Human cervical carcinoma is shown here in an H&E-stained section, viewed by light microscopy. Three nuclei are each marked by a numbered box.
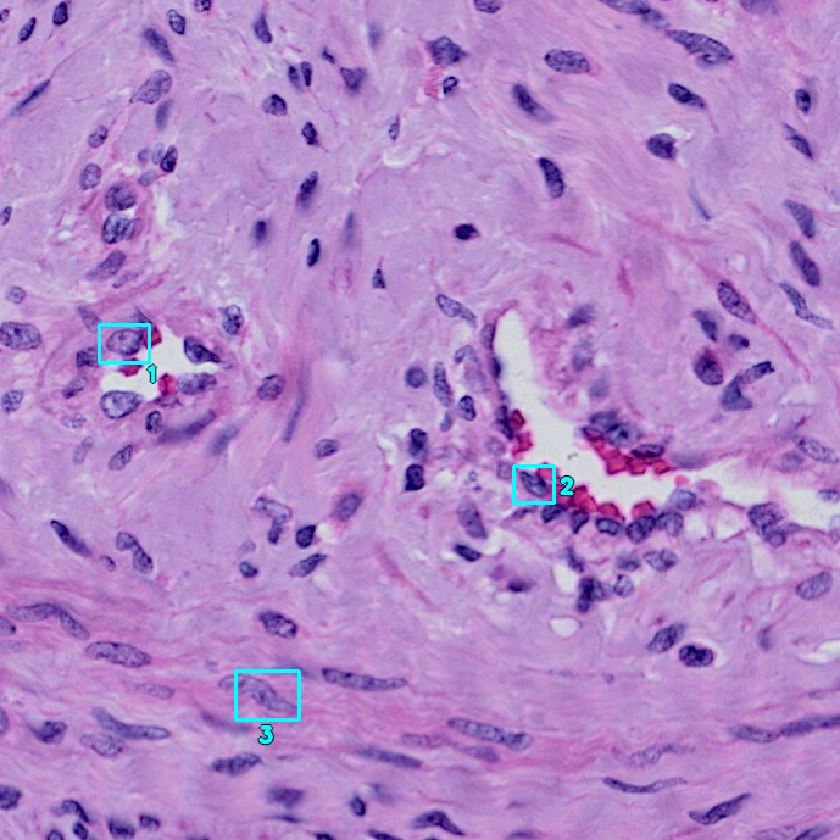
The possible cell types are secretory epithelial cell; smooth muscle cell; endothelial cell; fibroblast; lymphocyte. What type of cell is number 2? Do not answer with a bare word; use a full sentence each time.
Looking at the numbered marks, cell 2 is an endothelial cell.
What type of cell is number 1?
Cell 1, as marked in the section, is an endothelial cell.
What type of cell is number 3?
The numbered cell 3 is identified here as a smooth muscle cell.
